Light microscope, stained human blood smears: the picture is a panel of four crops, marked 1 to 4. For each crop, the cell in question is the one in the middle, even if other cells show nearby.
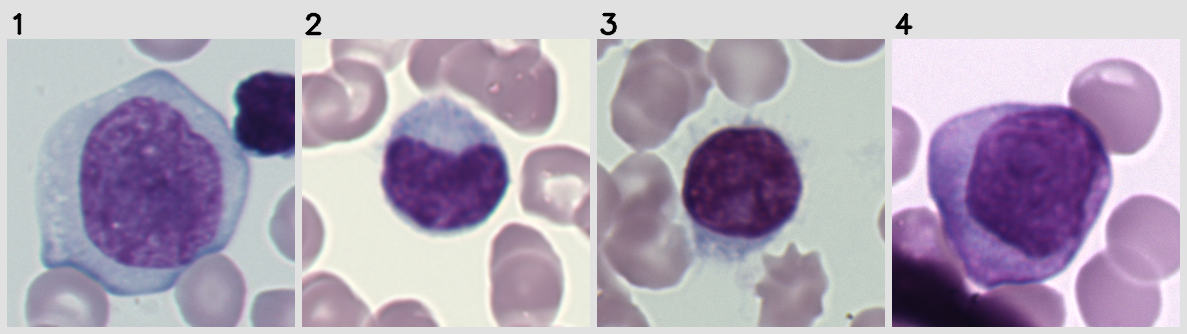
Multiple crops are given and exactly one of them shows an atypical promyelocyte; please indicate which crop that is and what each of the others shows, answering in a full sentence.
On inspection, crop 4 shows an atypical promyelocyte, while crop 1 is a myeloblast, crop 2 is a monocyte and crop 3 is a hairy cell.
